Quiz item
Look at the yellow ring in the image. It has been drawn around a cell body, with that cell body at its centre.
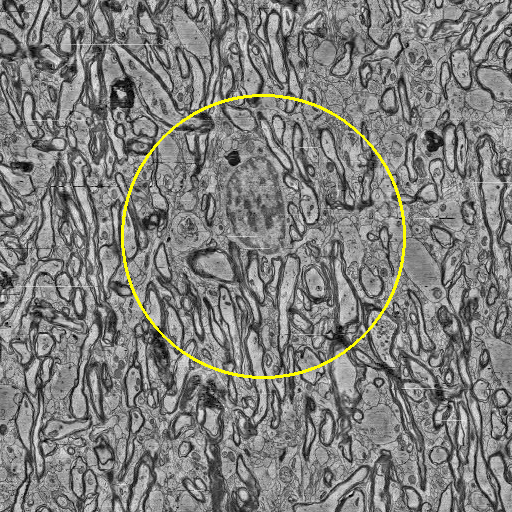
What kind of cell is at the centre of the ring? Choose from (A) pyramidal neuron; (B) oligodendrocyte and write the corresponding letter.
B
